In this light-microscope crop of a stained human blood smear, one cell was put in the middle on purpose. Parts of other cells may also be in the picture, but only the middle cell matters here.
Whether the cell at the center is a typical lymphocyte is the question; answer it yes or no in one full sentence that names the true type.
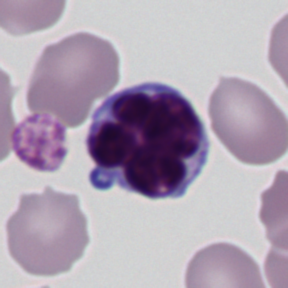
Yes, the cell located at the center is a typical lymphocyte.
